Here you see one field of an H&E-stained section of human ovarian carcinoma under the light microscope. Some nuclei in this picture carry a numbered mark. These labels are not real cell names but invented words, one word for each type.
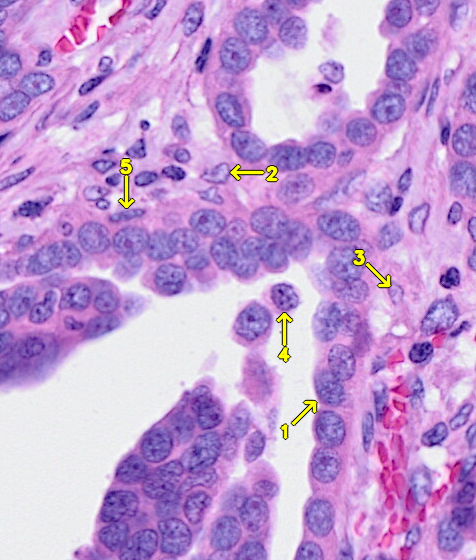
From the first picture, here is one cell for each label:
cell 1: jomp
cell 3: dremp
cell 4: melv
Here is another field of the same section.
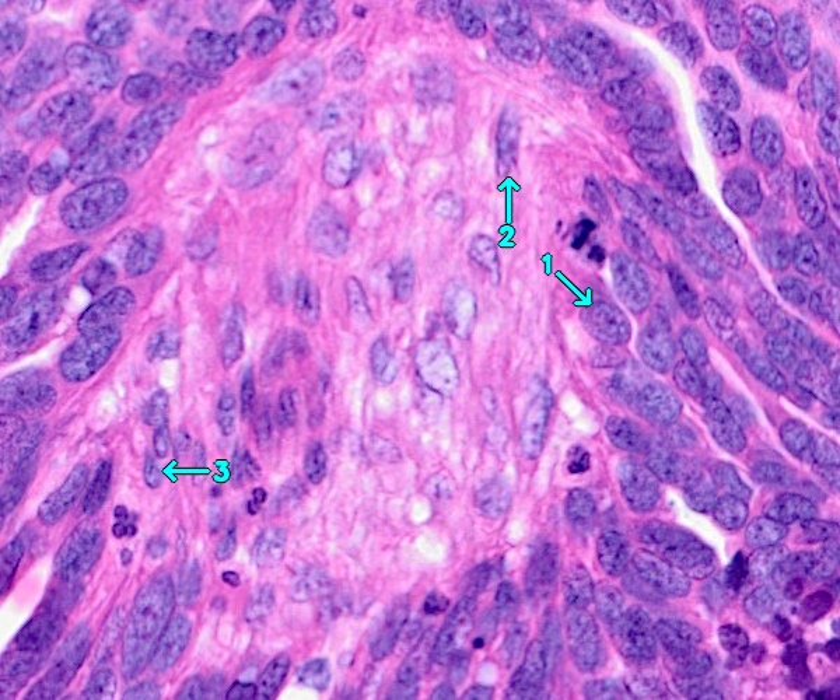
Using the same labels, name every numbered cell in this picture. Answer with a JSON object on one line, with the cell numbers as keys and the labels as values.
{"1": "jomp", "2": "dremp", "3": "dremp"}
